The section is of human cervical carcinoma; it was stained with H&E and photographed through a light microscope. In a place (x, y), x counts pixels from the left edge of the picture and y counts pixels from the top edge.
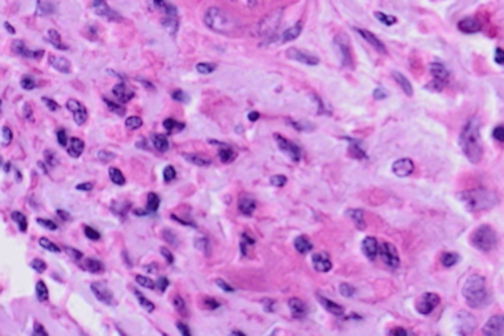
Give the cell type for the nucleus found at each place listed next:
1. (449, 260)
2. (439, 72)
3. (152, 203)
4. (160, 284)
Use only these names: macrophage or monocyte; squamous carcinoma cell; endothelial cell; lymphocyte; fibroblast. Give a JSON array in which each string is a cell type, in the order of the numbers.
["lymphocyte", "macrophage or monocyte", "lymphocyte", "lymphocyte"]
